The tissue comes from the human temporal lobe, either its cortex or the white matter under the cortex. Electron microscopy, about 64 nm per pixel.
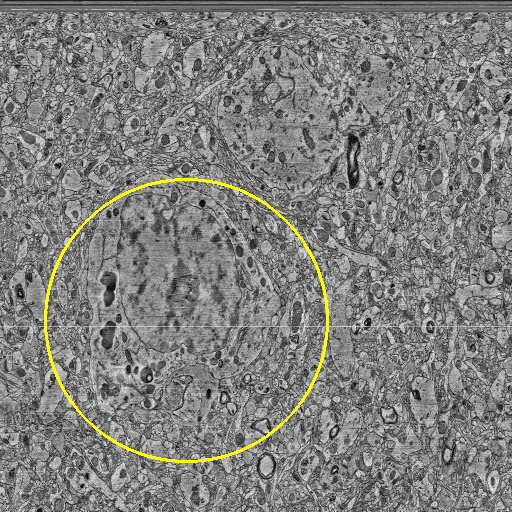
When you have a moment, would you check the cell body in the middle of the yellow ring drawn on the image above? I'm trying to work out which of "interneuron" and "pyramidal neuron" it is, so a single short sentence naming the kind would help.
This cell body belongs to an interneuron.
